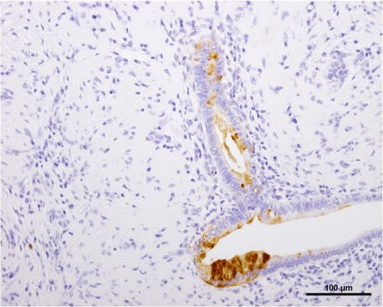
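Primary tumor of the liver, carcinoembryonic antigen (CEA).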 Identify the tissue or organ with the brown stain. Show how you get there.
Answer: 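Brown stain lies along the luminal edge of columnar-lined glands. The surrounding spindle-cell stroma is unstained blue.
Conclusion: adenocarcinoma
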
